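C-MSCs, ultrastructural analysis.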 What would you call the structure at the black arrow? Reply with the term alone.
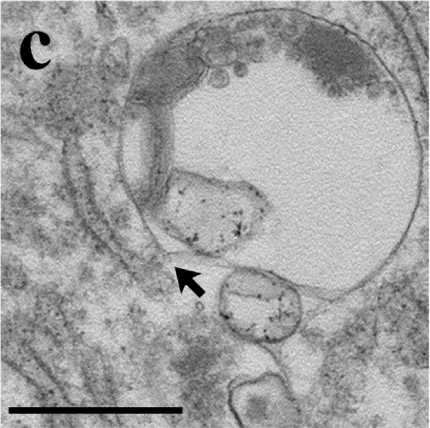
membrane contact site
